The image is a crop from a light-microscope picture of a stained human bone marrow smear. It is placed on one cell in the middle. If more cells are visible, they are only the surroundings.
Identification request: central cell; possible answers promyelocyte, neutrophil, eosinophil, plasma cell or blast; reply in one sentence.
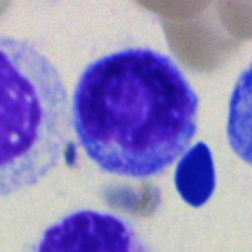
The cell of interest, located centrally, is a blast.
